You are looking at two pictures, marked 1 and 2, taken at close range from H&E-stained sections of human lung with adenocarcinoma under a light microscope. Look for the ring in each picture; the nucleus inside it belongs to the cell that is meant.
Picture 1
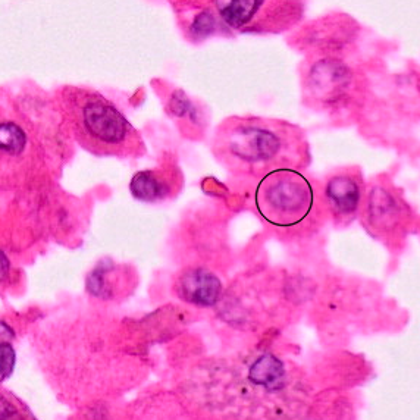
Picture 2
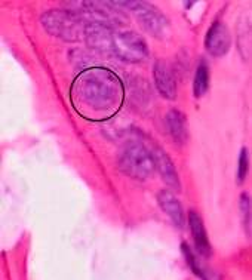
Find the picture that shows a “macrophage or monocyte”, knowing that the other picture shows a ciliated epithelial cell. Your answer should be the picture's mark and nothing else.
1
